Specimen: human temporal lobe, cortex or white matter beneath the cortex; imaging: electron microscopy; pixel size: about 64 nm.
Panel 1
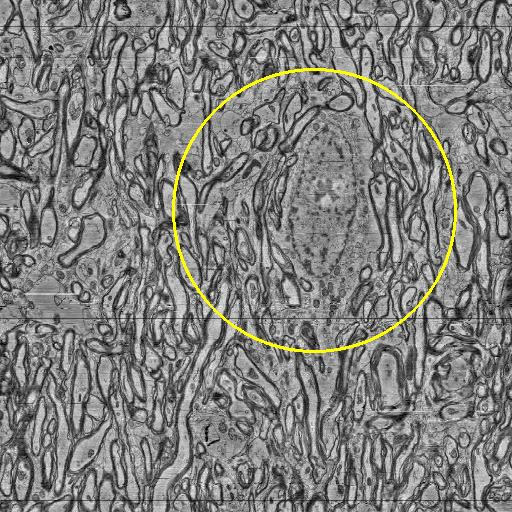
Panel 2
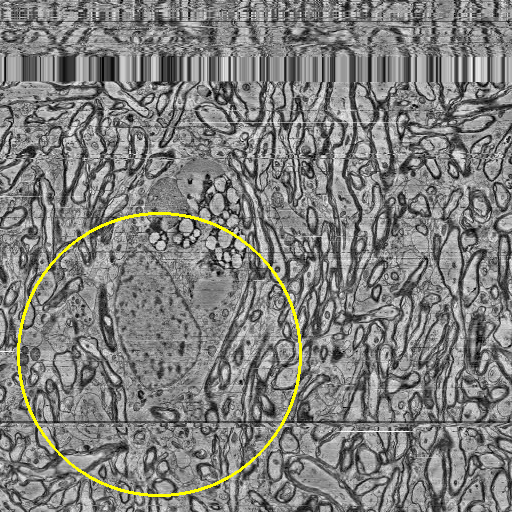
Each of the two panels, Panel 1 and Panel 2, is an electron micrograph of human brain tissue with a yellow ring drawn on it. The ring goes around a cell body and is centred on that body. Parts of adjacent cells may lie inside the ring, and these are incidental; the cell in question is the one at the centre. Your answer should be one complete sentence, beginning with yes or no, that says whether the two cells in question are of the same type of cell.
Yes, the two cells are of the same type.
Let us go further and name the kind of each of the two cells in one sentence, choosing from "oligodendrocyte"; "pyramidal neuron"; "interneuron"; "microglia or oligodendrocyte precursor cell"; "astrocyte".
In each of the two pictures, the ringed cell is an astrocyte.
